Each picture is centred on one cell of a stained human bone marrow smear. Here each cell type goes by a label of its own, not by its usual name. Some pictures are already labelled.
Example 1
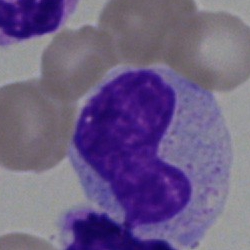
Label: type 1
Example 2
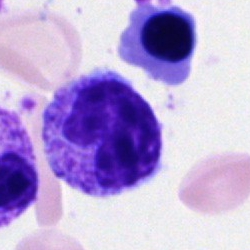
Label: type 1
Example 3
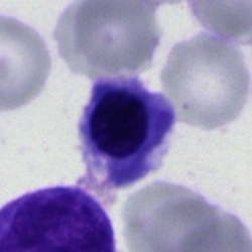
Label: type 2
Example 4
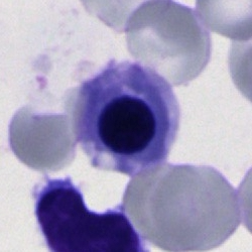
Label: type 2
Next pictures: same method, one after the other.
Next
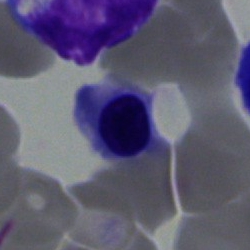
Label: type 2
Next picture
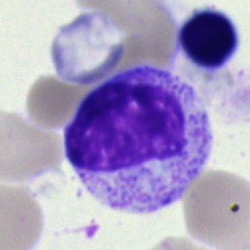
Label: type 1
